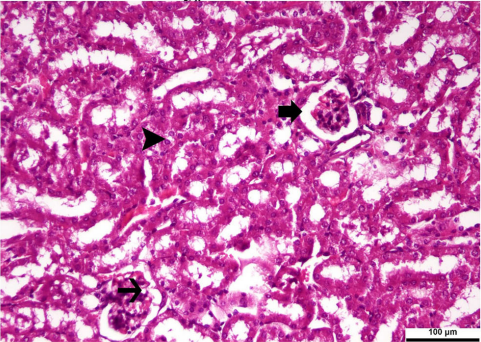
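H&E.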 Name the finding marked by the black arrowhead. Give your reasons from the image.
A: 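The arrowhead lies among tubules whose epithelium looks pale and vacuolated. That points to this answer: vacuolar degeneration in tubules.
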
